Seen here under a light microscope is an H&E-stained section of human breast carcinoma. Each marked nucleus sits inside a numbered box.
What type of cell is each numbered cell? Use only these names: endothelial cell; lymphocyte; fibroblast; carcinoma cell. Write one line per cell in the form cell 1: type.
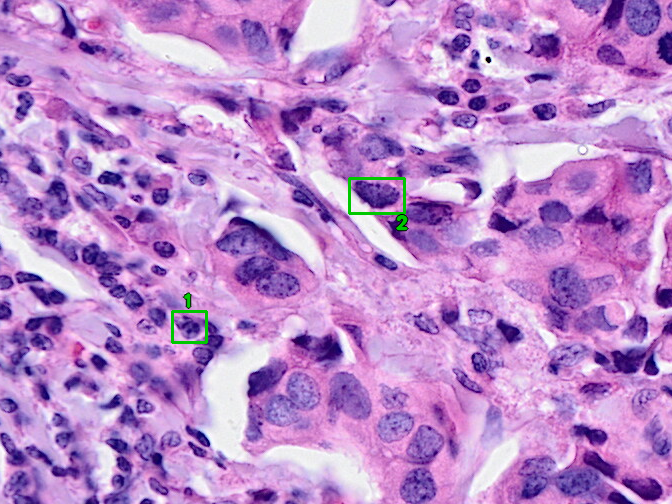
cell 1: lymphocyte
cell 2: carcinoma cell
